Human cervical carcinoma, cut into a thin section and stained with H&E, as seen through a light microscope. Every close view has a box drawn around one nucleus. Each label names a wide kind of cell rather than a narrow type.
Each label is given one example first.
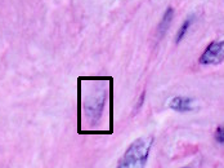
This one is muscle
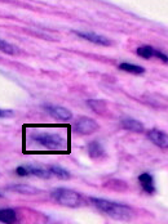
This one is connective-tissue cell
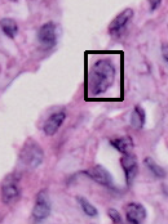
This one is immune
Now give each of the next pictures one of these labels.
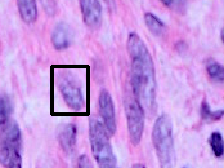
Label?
muscle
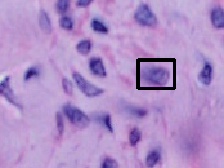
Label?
muscle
